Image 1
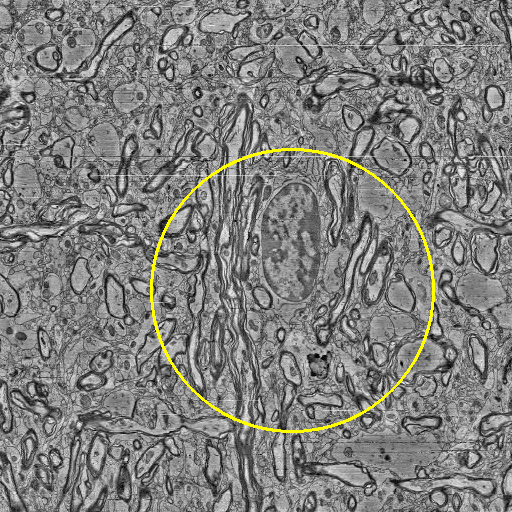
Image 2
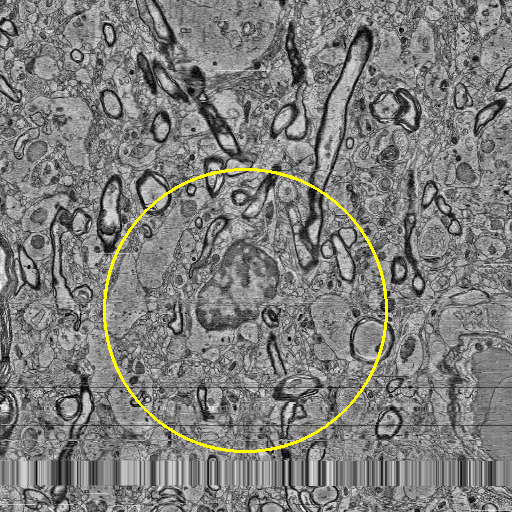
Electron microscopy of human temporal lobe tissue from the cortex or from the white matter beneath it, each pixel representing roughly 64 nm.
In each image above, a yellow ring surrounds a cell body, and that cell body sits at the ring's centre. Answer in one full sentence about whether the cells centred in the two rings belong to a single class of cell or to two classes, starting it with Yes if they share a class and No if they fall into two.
Yes, the cells centred in the two yellow rings belong to a single class of cell.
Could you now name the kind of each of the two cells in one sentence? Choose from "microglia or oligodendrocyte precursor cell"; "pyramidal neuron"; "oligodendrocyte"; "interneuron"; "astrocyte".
Both cells are the same kind, each one being a microglial cell or oligodendrocyte precursor cell.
